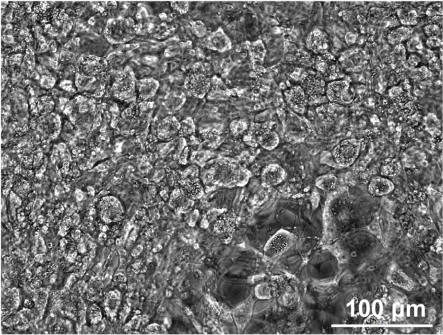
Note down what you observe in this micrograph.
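This phase-contrast view shows a crowded culture of adipocytes. Rounded cells packed with small, refractile fat droplets are scattered among flattened, elongated cells that cover the rest of the field.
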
